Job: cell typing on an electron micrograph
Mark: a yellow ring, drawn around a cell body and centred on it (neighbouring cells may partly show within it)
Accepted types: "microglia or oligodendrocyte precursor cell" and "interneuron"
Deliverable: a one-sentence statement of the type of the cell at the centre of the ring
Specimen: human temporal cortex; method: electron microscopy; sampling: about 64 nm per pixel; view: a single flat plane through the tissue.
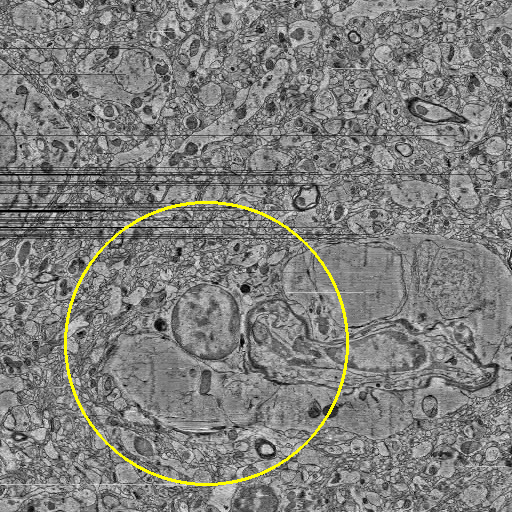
The centred cell body is that of a microglial cell or oligodendrocyte precursor cell.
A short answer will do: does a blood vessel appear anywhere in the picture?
Yes, one is visible.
